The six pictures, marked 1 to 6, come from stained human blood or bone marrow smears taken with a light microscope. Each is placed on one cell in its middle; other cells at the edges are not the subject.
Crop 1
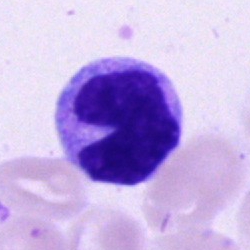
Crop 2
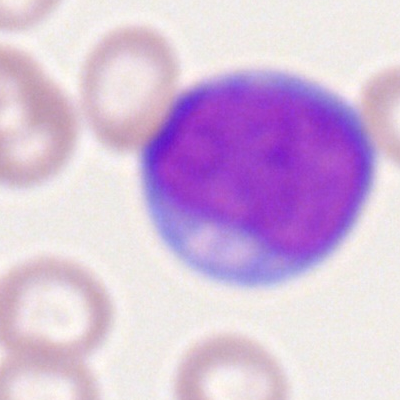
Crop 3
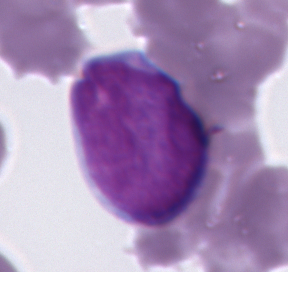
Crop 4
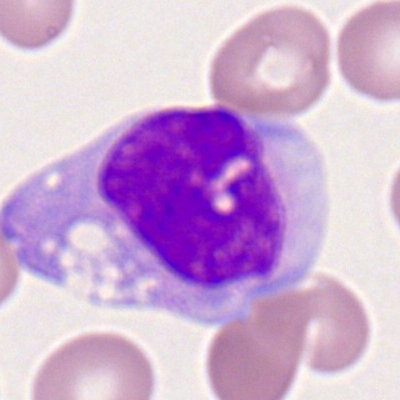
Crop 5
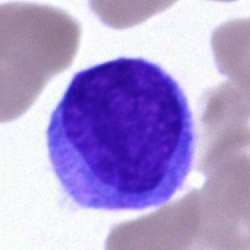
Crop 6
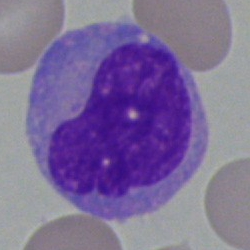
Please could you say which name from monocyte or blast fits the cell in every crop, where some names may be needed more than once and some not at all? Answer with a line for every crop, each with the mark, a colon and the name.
1: monocyte
2: blast
3: blast
4: monocyte
5: blast
6: monocyte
